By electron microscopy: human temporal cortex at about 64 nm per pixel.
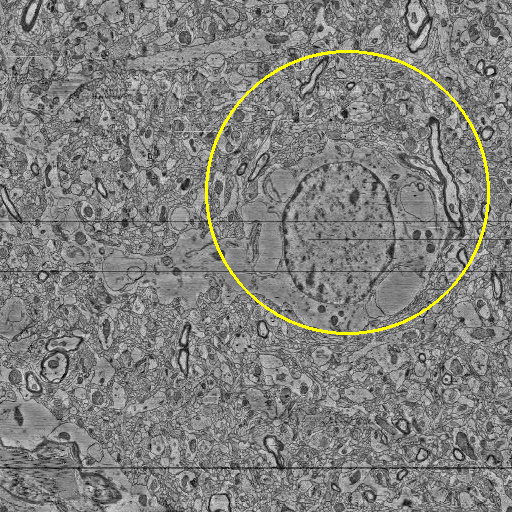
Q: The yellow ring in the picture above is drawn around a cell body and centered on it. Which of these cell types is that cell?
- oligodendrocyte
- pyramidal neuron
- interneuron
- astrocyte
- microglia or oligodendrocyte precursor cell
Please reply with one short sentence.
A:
The cell body at the ring's center belongs to an astrocyte.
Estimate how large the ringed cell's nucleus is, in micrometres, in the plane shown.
In this plane, about 10 micrometres in length and 7 in width.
